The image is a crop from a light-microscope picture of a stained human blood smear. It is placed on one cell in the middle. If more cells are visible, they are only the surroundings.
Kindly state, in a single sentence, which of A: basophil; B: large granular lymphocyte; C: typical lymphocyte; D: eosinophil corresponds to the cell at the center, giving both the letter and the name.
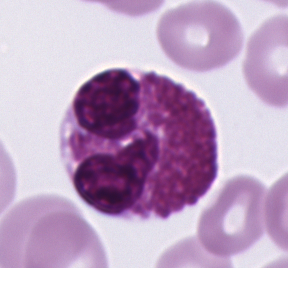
For this crop, option D is right, the centered cell being an eosinophil.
